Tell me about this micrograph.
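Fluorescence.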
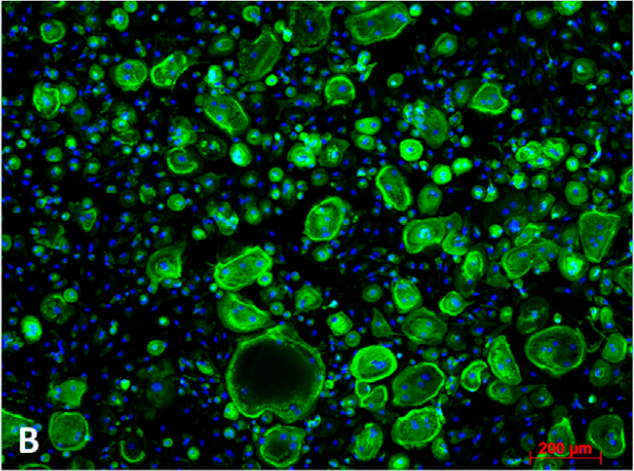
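Scattered among many small round cells with single blue nuclei are large rounded or irregular cells, each holding several to many blue nuclei. The large cells vary in size, one being much larger than its neighbours, and some small cells cluster in bright green groups.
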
